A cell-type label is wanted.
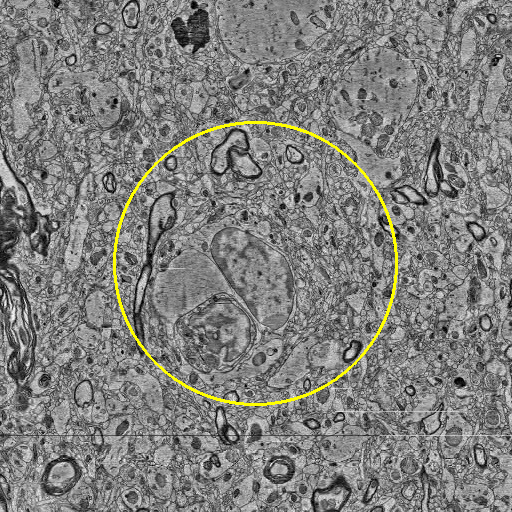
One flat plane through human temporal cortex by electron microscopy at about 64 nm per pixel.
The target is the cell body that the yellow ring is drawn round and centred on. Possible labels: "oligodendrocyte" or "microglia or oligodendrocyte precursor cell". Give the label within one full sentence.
Of the labels offered, the cell in the middle of the yellow ring is a microglial cell or oligodendrocyte precursor cell.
